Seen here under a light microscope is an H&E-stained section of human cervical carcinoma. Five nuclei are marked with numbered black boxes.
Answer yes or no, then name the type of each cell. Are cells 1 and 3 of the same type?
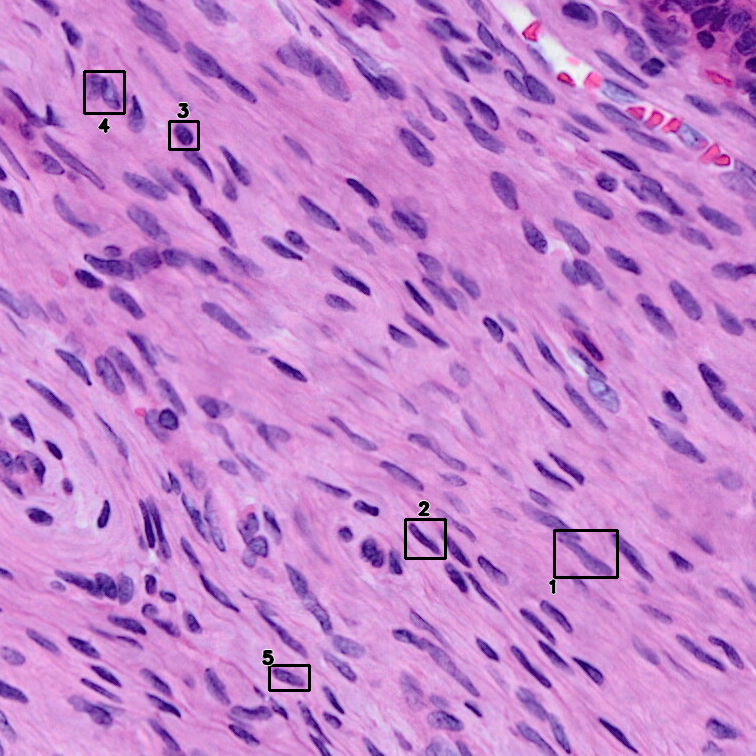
No, cell 1 is a fibroblast and cell 3 is a lymphocyte.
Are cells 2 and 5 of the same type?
Yes, both are fibroblasts.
